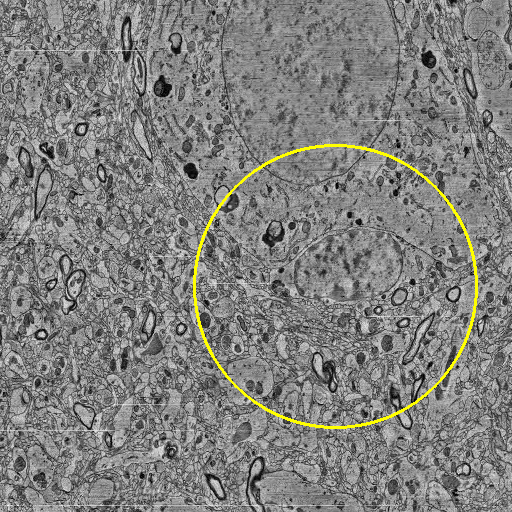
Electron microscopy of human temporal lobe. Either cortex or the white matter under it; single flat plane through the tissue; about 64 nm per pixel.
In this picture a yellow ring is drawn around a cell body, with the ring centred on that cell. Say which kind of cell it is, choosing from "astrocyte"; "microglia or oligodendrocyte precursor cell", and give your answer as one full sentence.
Here it is a microglial cell or oligodendrocyte precursor cell that sits at the centre of the drawn yellow ring.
